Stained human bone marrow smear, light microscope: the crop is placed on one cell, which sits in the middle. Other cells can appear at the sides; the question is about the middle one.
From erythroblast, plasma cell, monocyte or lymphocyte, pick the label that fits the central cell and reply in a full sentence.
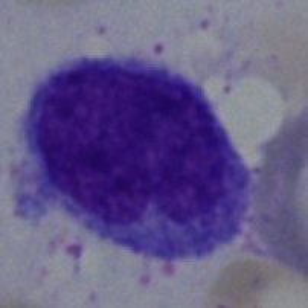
In the middle of this smear crop, the cell is a monocyte.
